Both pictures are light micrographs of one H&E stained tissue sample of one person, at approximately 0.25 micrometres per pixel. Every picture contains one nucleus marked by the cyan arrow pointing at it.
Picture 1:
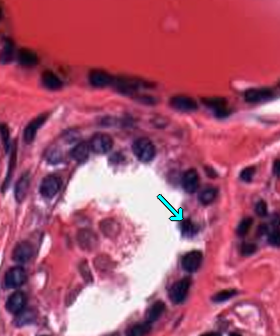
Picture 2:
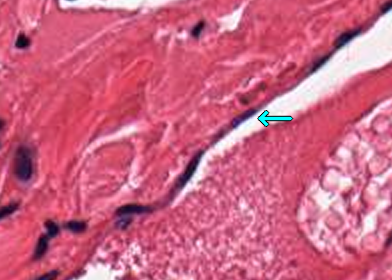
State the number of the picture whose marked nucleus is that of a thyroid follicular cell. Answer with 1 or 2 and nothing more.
1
